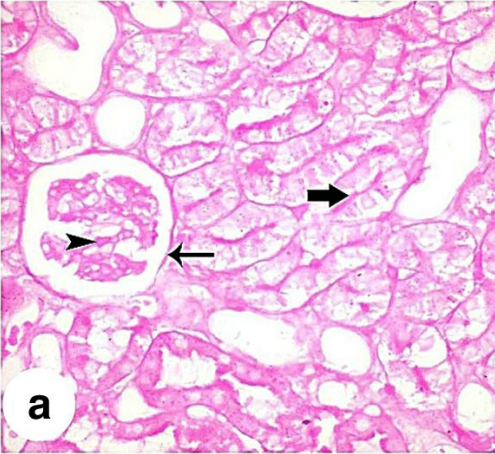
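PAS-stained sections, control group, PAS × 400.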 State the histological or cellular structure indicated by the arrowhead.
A: glomerular capillaries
